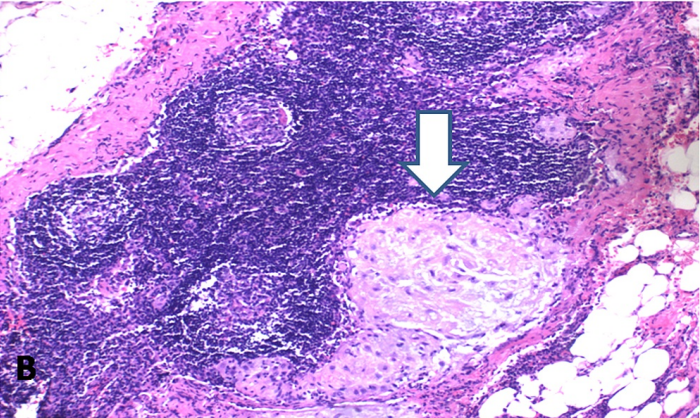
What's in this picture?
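Lymphoid tissue of small dark-blue cells, with round paler follicle-like areas, is bordered by a pink fibrous capsule and fat cells at the right. The cluster is set apart from the dense lymphocytes around it. This is a cluster of large polygonal cells with eosinophilic cytoplasm lying in the peripheral part of a lymph node.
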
